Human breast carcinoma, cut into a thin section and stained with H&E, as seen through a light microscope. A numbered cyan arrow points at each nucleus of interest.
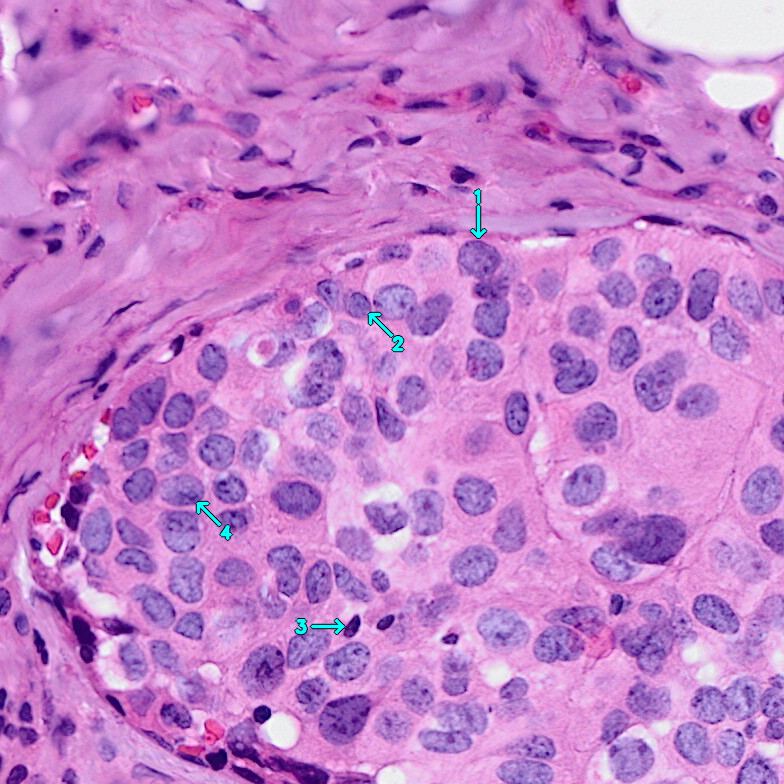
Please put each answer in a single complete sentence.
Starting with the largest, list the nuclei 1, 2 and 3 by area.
Going from the biggest nucleus down to the smallest gives 1, 2, 3.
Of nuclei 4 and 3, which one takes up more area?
Nucleus 4 covers more area, about 4 times as much as nucleus 3.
